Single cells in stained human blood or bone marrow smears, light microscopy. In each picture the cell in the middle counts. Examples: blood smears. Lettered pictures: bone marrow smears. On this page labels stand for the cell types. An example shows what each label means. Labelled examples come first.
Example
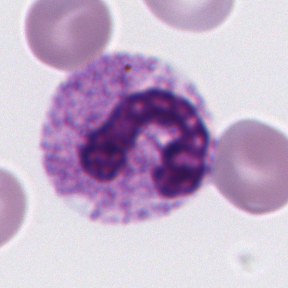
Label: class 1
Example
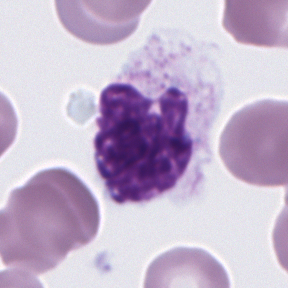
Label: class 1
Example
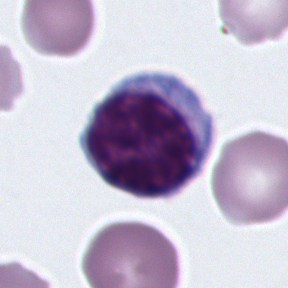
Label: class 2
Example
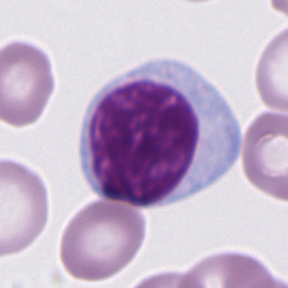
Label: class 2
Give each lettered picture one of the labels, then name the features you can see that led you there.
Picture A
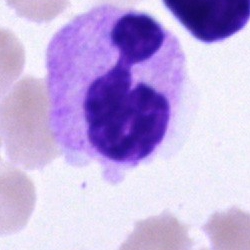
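Label: class 1. The cytoplasm is plentiful and pale lilac.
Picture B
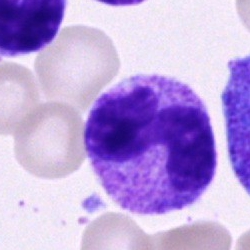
Label: class 1. The cytoplasm is plentiful and pale pinkish-lilac.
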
